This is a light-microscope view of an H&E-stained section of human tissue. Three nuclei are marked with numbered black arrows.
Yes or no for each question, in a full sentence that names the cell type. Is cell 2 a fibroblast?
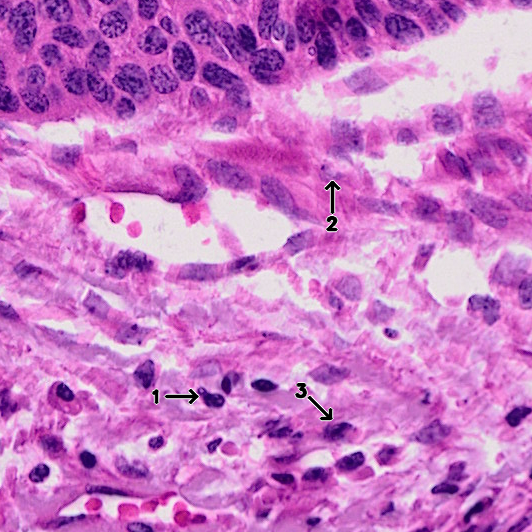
Yes, the cell indicated by number 2 is a fibroblast.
